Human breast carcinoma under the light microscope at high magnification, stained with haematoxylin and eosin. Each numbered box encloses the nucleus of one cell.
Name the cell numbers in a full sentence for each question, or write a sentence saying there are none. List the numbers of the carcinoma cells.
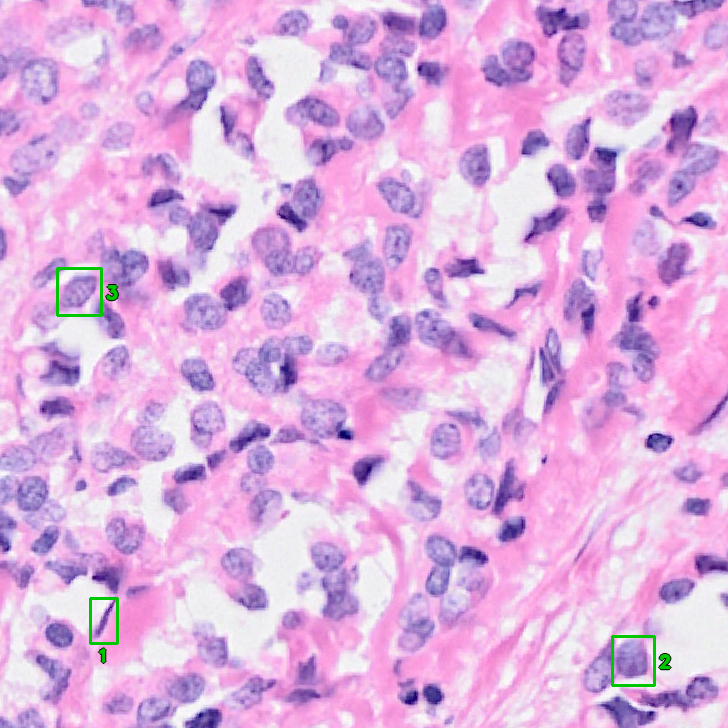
Identified as carcinoma cells are the cells numbered 2 and 3.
